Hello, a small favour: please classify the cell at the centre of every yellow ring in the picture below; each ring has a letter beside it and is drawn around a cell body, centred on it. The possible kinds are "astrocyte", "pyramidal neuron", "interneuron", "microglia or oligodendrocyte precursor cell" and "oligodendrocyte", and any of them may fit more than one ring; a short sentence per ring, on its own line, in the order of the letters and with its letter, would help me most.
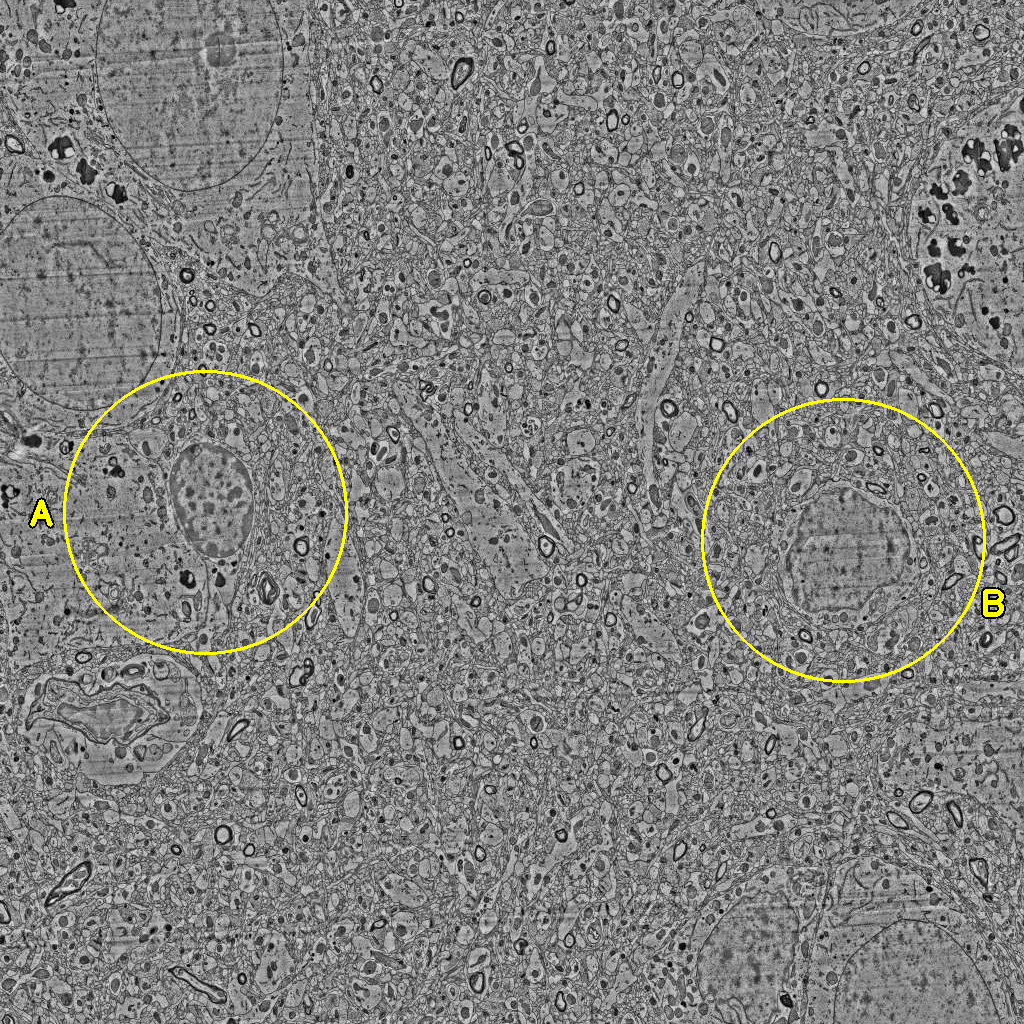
The centre of ring A falls on a microglial cell or oligodendrocyte precursor cell.
The centre of ring B falls on an interneuron.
